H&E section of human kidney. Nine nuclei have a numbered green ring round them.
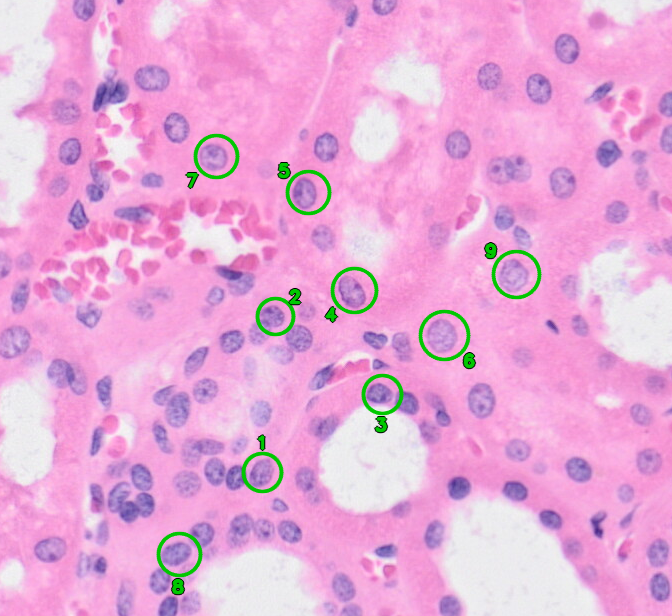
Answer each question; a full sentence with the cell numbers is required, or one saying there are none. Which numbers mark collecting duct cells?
The cells carrying labels 1, 2 and 8 are collecting duct cells.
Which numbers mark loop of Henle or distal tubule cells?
The nucleus labelled 3 alone belongs to a loop of Henle or distal tubule cell; the other marked nuclei do not.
